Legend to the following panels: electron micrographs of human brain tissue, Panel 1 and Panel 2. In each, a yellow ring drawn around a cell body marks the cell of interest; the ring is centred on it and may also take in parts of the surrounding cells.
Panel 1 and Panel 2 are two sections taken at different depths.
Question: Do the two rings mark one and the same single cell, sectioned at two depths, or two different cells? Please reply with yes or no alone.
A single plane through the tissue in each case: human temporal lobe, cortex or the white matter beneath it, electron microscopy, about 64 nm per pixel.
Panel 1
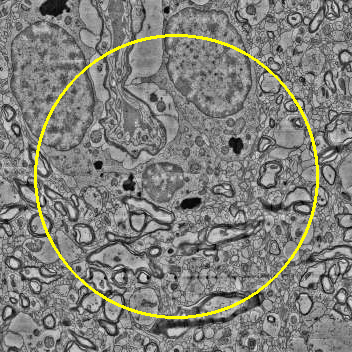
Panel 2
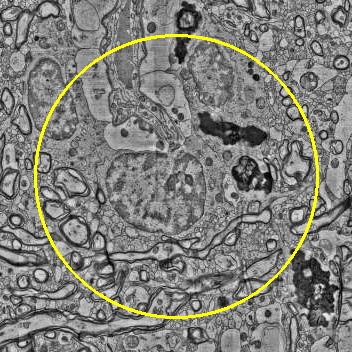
yes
